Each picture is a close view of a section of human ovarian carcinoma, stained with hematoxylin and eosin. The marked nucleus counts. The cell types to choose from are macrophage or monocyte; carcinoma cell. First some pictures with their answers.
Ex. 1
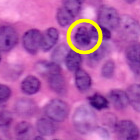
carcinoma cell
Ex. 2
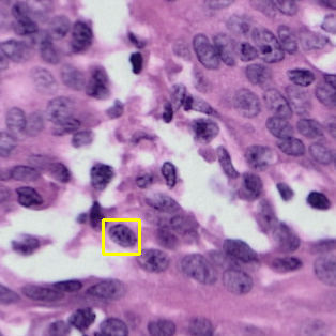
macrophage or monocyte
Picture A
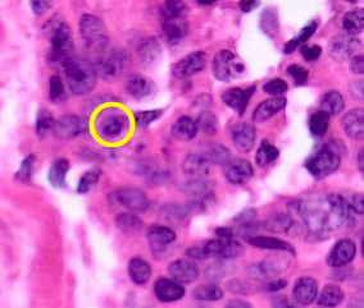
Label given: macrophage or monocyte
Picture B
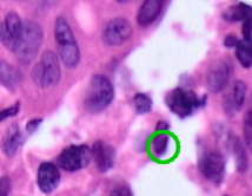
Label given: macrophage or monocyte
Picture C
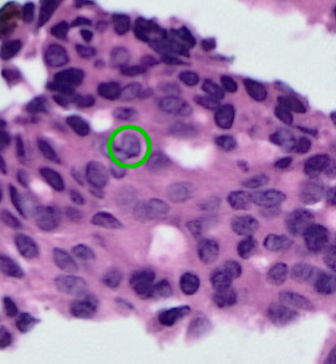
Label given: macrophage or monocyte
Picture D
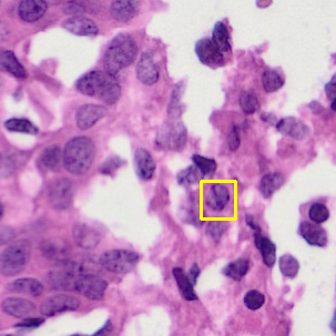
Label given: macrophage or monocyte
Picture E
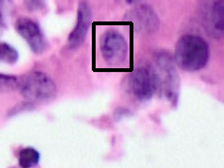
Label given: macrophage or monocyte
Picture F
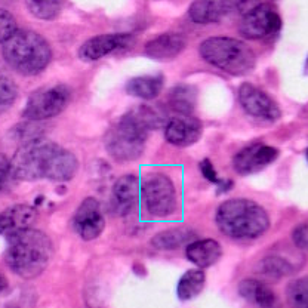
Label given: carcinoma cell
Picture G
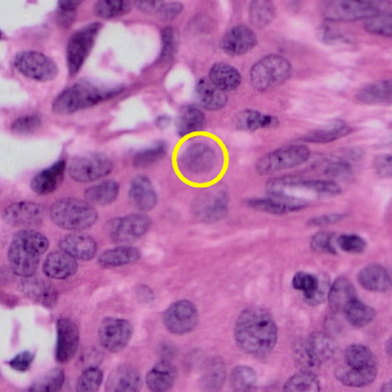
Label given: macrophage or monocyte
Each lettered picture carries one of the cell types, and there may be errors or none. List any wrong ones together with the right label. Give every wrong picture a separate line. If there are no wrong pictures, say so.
Wrong: G (macrophage or monocyte); correct: carcinoma cell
